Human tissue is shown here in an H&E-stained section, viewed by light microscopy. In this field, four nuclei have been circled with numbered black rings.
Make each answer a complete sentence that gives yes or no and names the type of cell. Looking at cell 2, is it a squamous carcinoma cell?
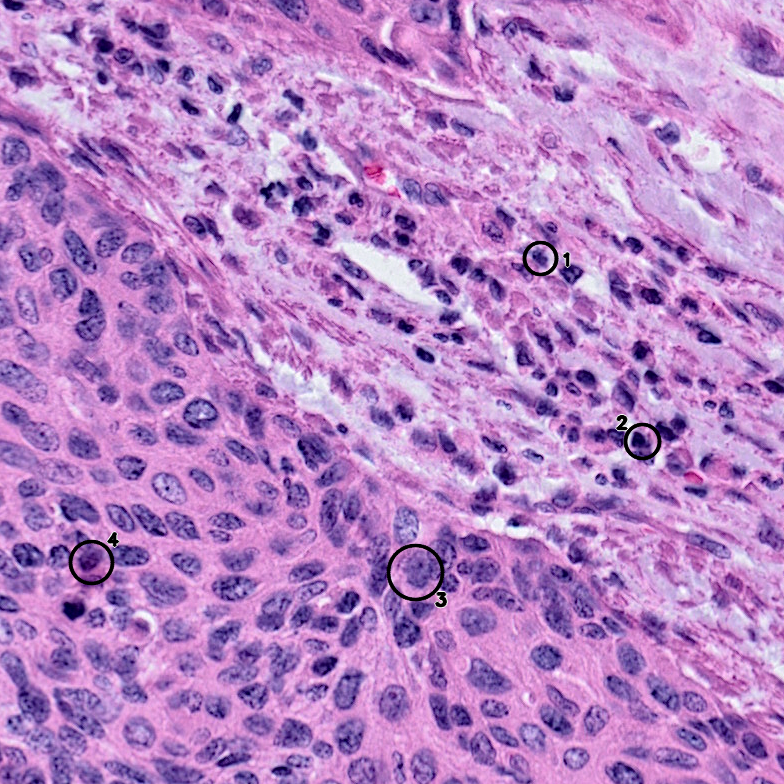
No, the cell labelled number 2 is not a squamous carcinoma cell; it is a lymphocyte.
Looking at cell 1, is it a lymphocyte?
Yes, regarding number 1, the cell is a lymphocyte.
